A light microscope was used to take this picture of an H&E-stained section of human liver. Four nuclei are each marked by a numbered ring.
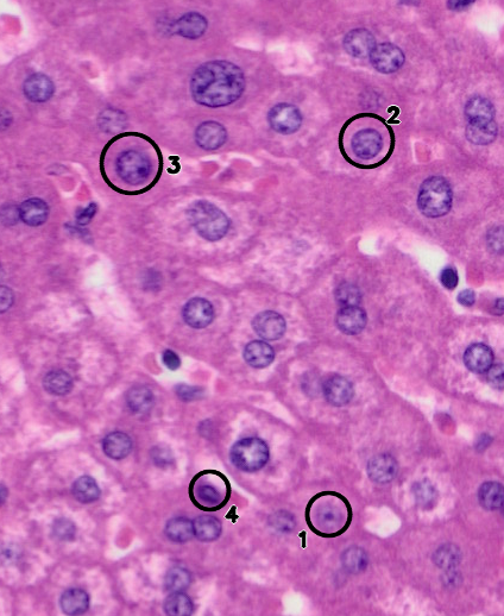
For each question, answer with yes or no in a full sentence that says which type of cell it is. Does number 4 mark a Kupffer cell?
Yes, in the section, number 4 is a Kupffer cell.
